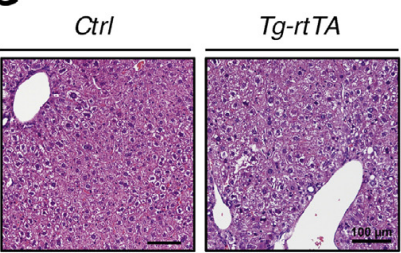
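Two side-by-side fields of liver parenchyma show sheets of large polygonal hepatocytes. The hepatocytes have pink-to-purple cytoplasm and round, centrally placed, dark-staining nuclei. In both fields, thin-walled vessels with empty white lumens interrupt the parenchyma, with a larger, irregularly shaped vessel in the right field. Small clear spaces are scattered among the cells in the right field. Neither field shows obvious inflammatory clusters or gross disruption of the tissue.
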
